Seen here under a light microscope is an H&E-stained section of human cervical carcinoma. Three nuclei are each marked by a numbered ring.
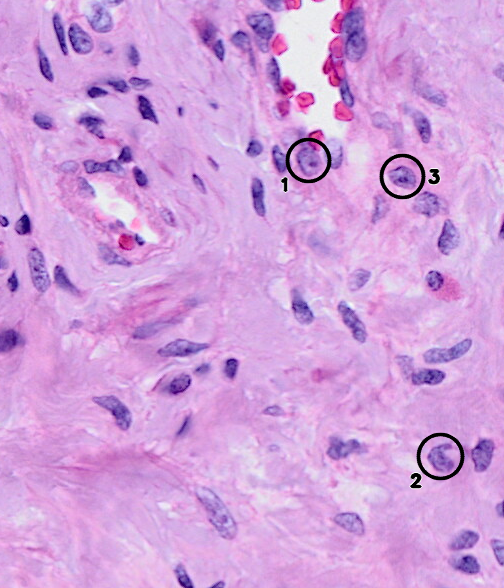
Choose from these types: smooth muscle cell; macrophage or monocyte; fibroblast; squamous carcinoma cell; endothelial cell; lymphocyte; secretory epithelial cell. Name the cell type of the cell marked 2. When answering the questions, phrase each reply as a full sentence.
The marked nucleus 2 is that of a fibroblast.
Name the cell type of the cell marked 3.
In the tissue shown, cell 3 is an endothelial cell.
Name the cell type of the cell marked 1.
Looking at the numbered marks, cell 1 is an endothelial cell.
